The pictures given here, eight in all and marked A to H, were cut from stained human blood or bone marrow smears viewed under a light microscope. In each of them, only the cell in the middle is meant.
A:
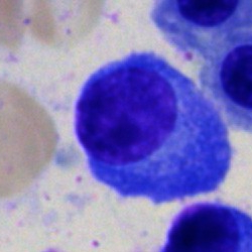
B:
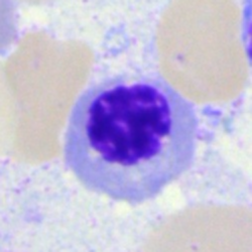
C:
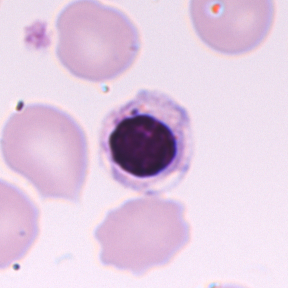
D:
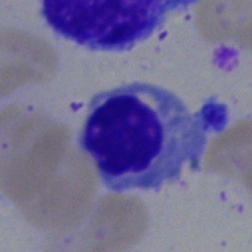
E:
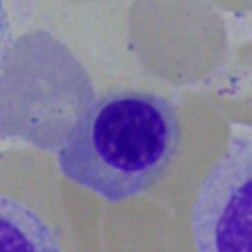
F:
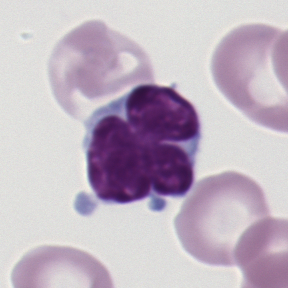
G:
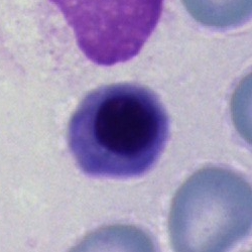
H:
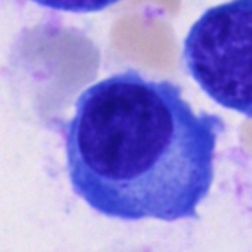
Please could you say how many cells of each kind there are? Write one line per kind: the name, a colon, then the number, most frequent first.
erythroblast: 5
plasma cell: 2
lymphocyte: 1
